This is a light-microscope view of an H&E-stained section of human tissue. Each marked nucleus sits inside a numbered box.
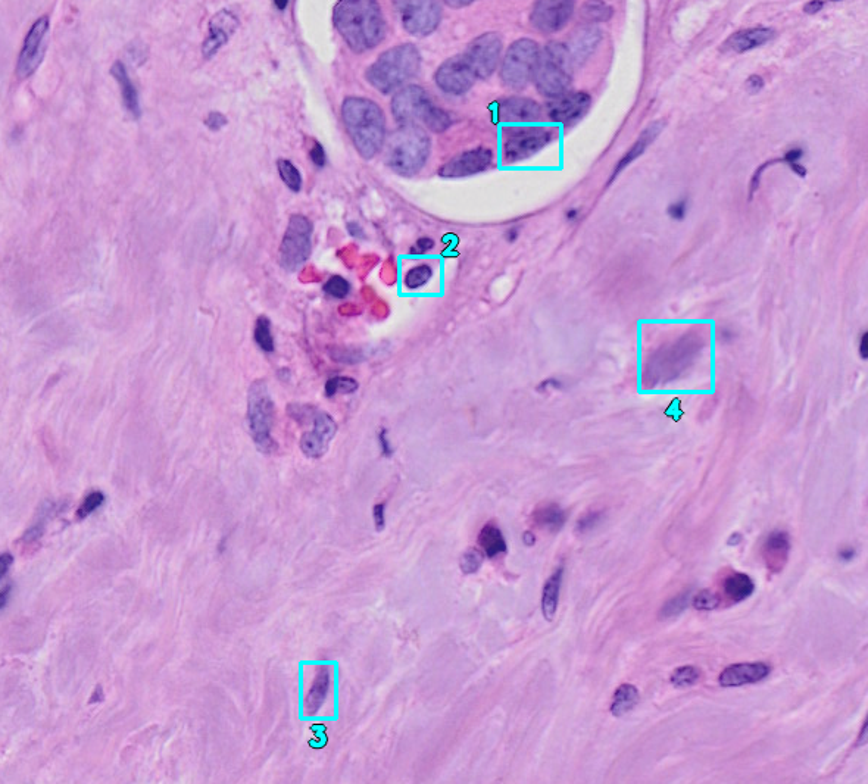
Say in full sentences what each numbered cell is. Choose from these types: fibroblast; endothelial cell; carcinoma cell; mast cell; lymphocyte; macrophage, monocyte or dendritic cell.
Cell 1 is a carcinoma cell. Cell 2 is a lymphocyte. Cells 3 and 4 are fibroblasts.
